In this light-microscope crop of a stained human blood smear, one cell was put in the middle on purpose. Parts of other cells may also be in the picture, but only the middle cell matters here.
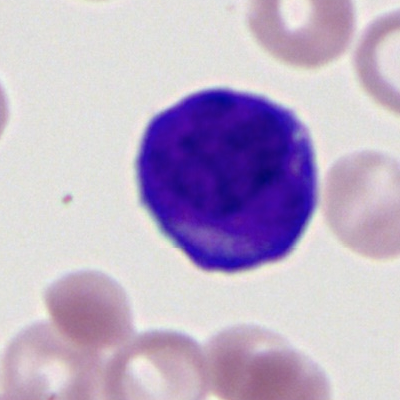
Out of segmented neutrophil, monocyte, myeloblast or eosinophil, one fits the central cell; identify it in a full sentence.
Located at the centre of the crop is a myeloblast.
